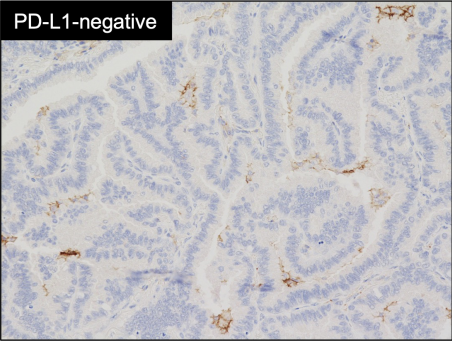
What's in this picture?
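Here branching fronds and glands are lined by tall epithelial cells. Their oval nuclei are blue and crowded along the fronds, and the cytoplasm is pale blue-grey. The epithelium itself shows no brown colour at its cell borders. A few isolated, irregular cells lie in the spaces between the fronds and in the thin cores, and these are stained brown. The overall picture is of a well-formed glandular or papillary epithelium with only scattered brown cells that are separate from it.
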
